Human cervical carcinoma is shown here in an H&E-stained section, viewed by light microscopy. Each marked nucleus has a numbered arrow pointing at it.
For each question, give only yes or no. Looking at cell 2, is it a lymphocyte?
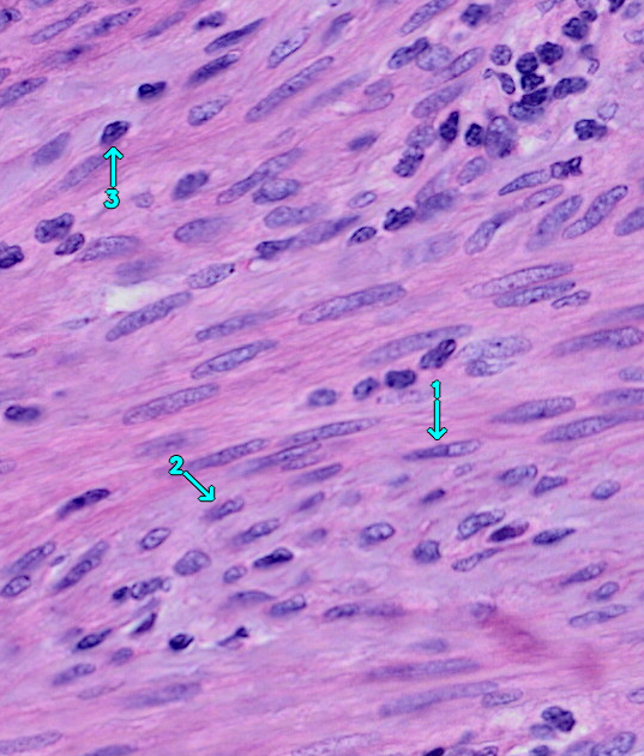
no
